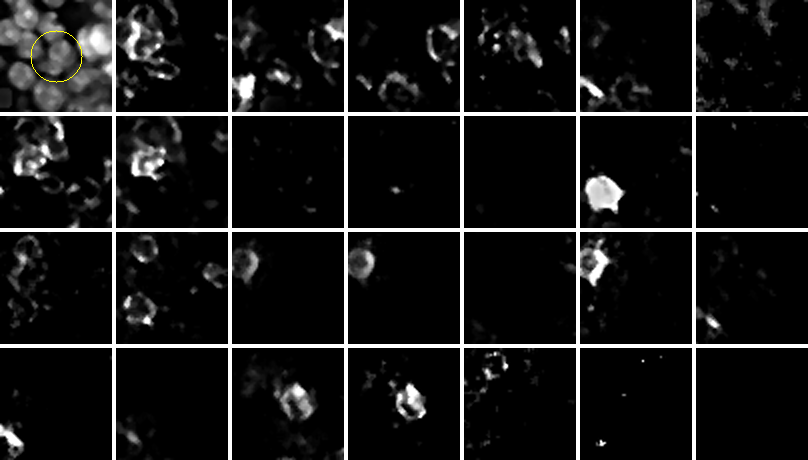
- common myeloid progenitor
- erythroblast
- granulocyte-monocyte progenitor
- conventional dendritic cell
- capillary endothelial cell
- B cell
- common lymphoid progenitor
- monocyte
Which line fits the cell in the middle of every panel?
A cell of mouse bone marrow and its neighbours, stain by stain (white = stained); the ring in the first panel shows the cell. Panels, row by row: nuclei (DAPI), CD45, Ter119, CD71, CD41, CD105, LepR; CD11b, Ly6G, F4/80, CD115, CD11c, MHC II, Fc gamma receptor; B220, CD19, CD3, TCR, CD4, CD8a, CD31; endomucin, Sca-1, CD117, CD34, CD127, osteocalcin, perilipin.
common myeloid progenitor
